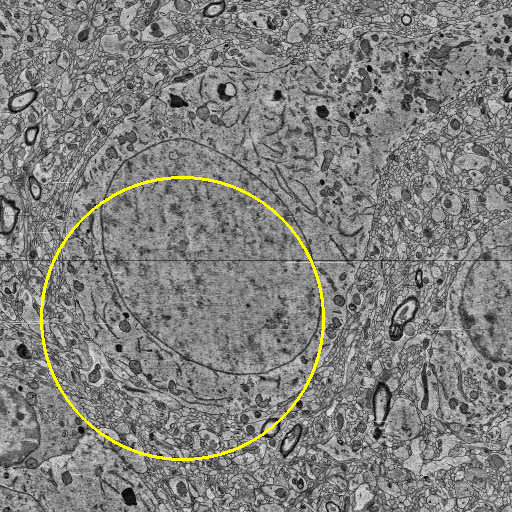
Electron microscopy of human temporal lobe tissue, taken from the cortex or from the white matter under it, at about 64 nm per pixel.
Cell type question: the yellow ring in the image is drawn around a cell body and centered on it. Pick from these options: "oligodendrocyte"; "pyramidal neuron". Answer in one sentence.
The ringed cell at the center is a pyramidal neuron.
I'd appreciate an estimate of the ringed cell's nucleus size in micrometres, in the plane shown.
Roughly 17 micrometres by 13 micrometres, in this plane.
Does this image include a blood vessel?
No, no vessel shows anywhere in the image.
